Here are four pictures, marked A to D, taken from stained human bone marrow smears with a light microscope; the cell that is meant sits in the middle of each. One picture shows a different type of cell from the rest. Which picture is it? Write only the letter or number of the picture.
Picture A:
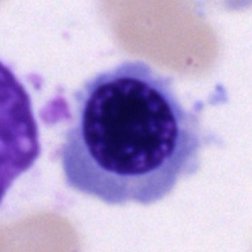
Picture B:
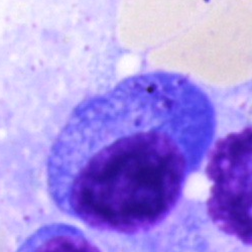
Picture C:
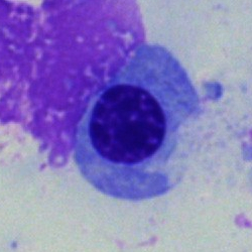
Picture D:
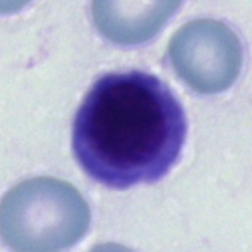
B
